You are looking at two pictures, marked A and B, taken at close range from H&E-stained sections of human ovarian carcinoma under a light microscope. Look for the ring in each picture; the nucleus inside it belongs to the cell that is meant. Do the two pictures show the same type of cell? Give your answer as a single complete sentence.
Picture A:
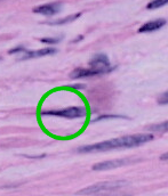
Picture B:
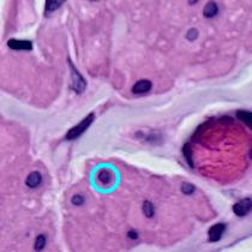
Yes, the two pictures both show smooth muscle cells.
